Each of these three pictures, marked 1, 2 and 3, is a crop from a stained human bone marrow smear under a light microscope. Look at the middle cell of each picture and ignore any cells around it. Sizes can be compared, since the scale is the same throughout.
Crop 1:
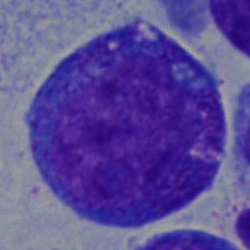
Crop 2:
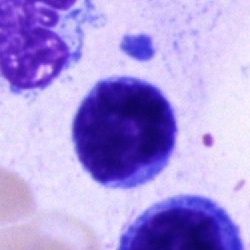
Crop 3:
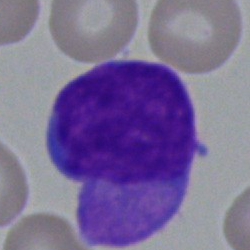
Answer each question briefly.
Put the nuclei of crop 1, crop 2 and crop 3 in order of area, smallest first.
2, 3, 1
